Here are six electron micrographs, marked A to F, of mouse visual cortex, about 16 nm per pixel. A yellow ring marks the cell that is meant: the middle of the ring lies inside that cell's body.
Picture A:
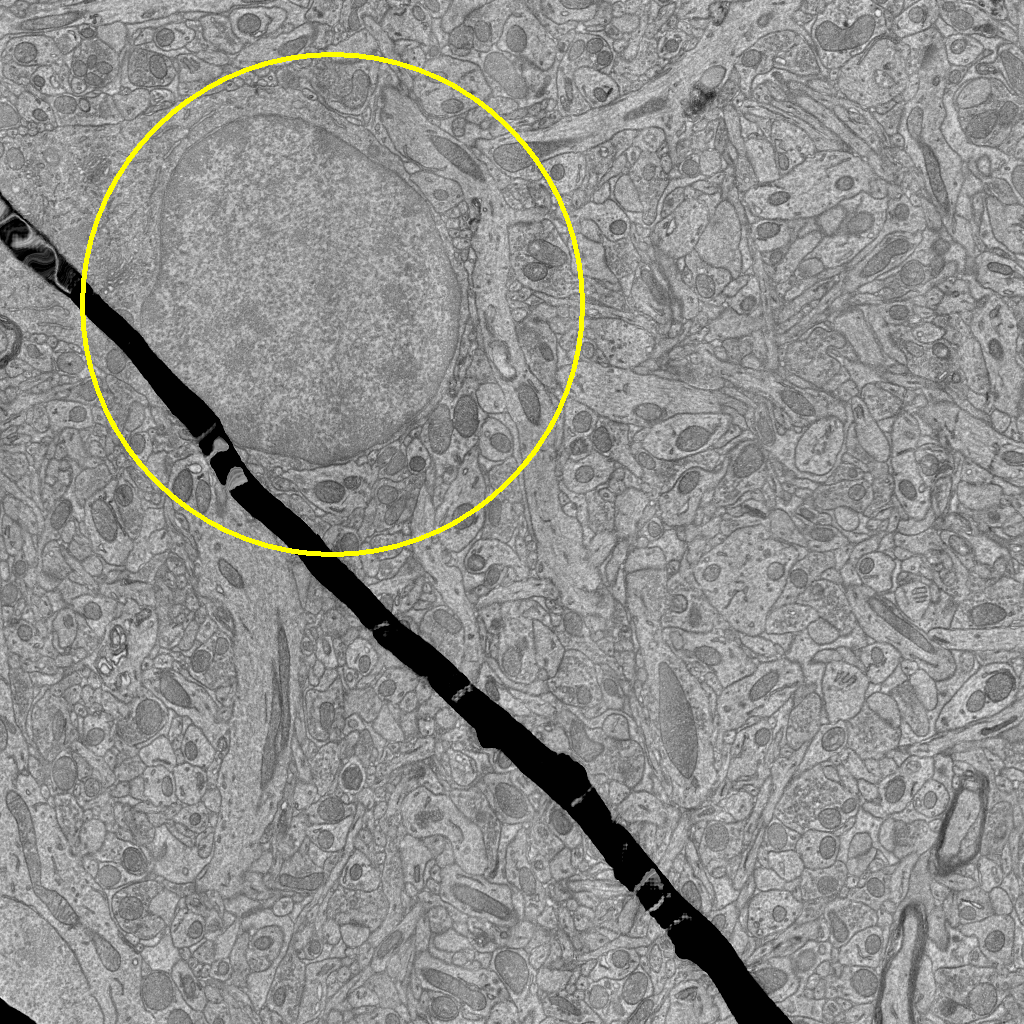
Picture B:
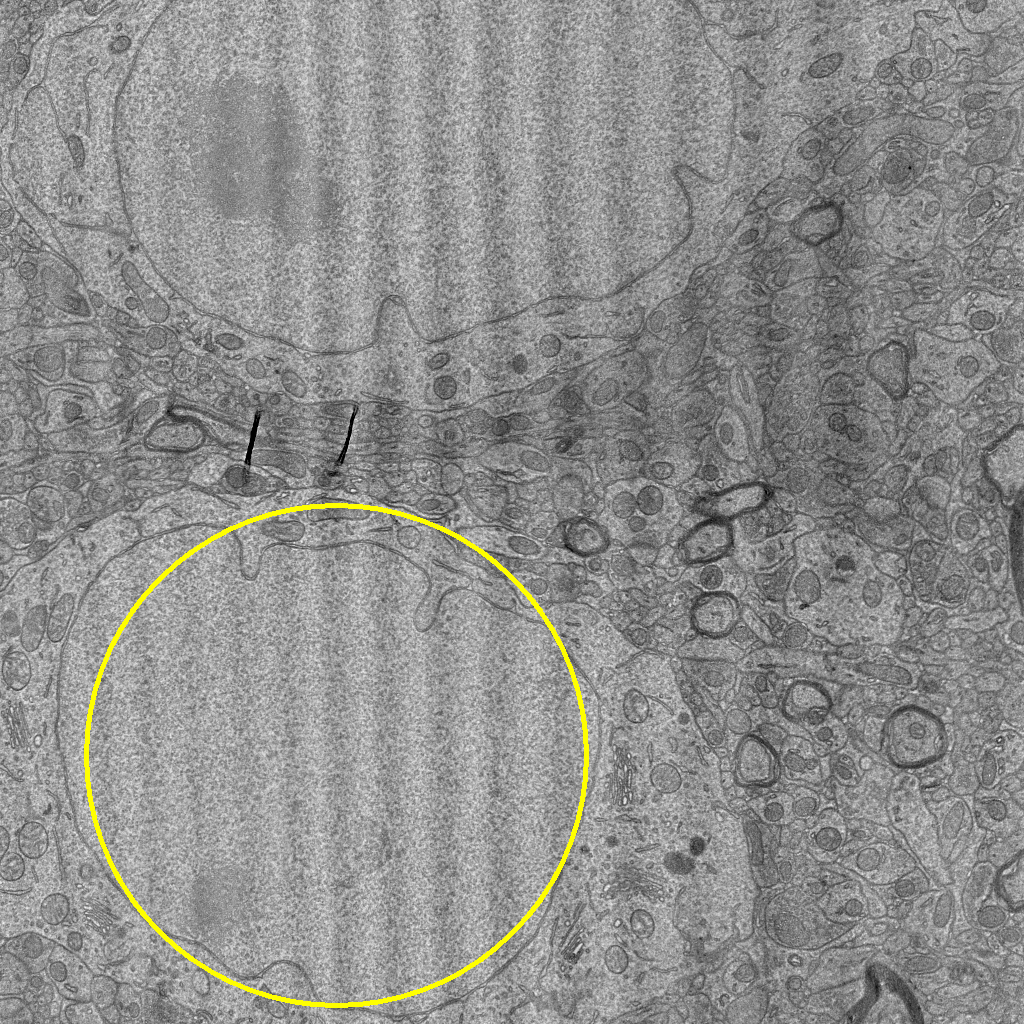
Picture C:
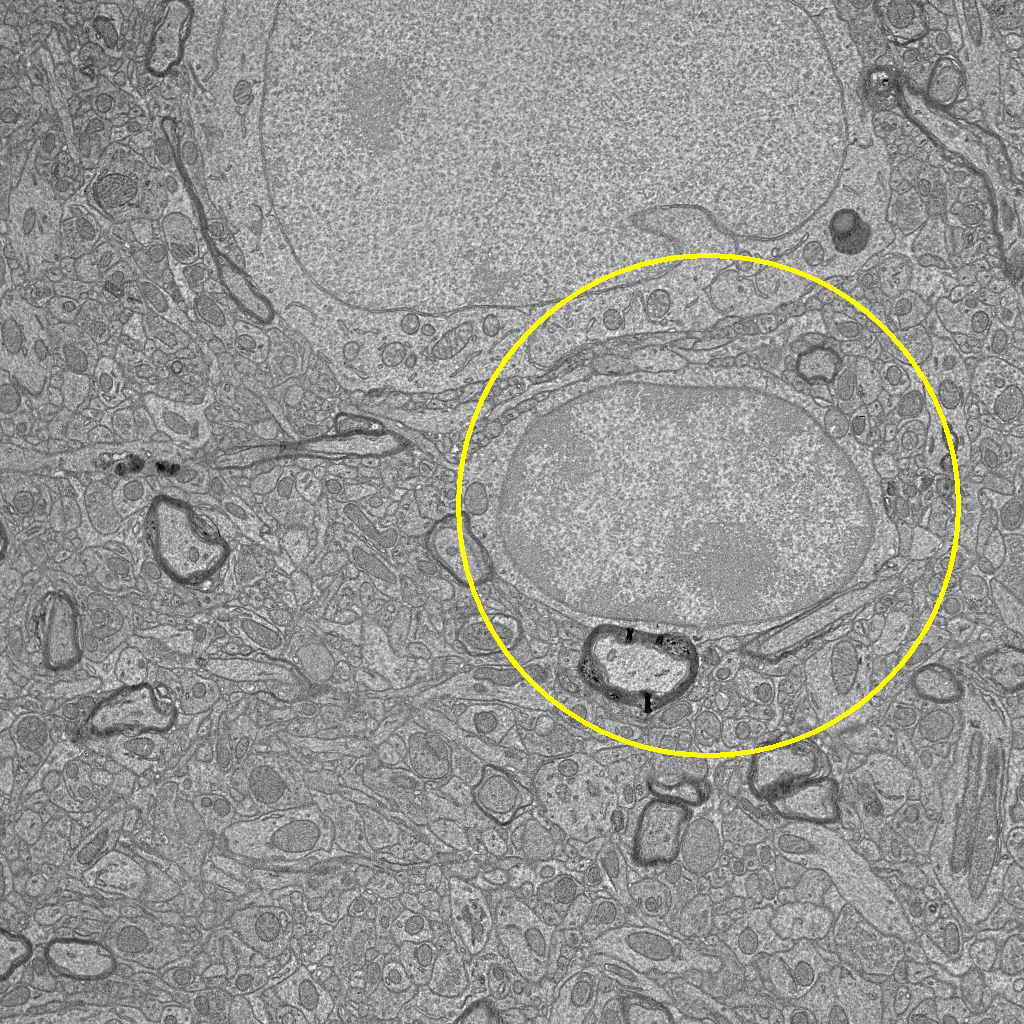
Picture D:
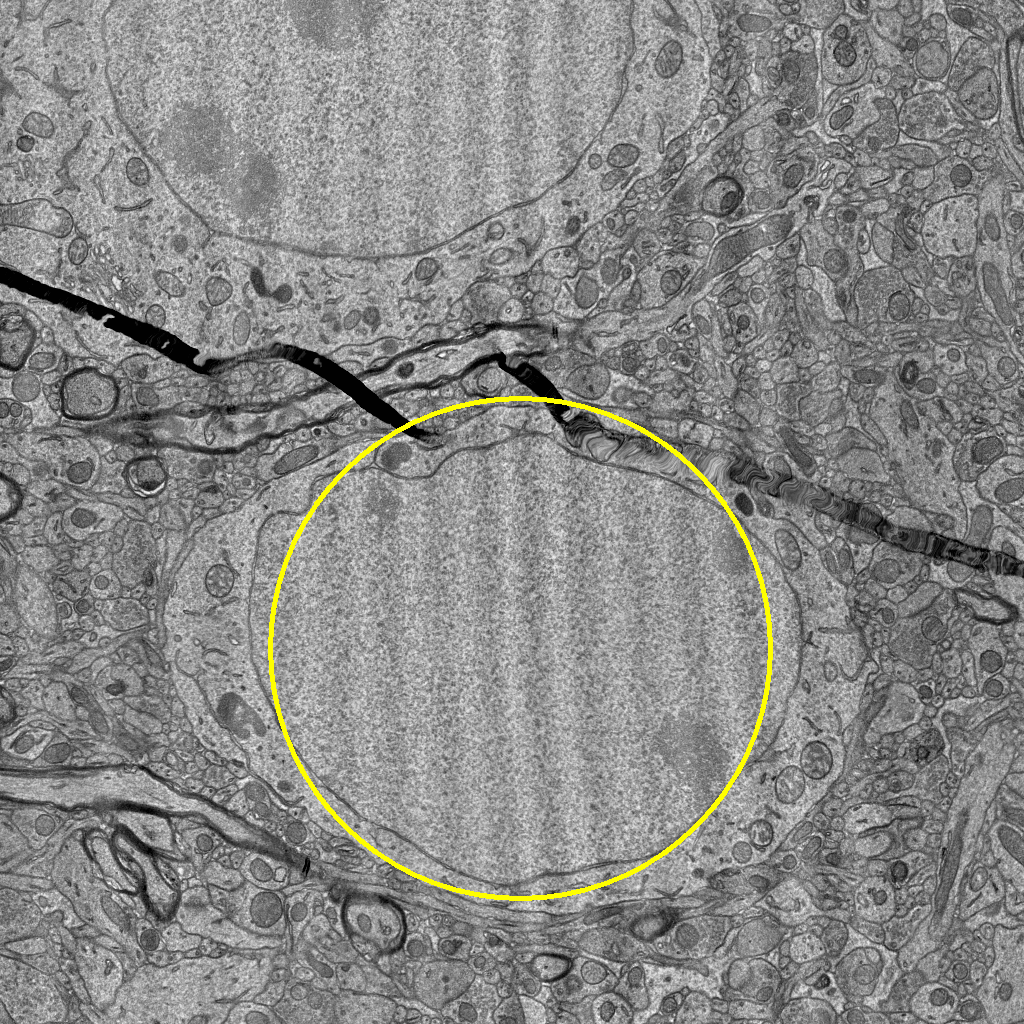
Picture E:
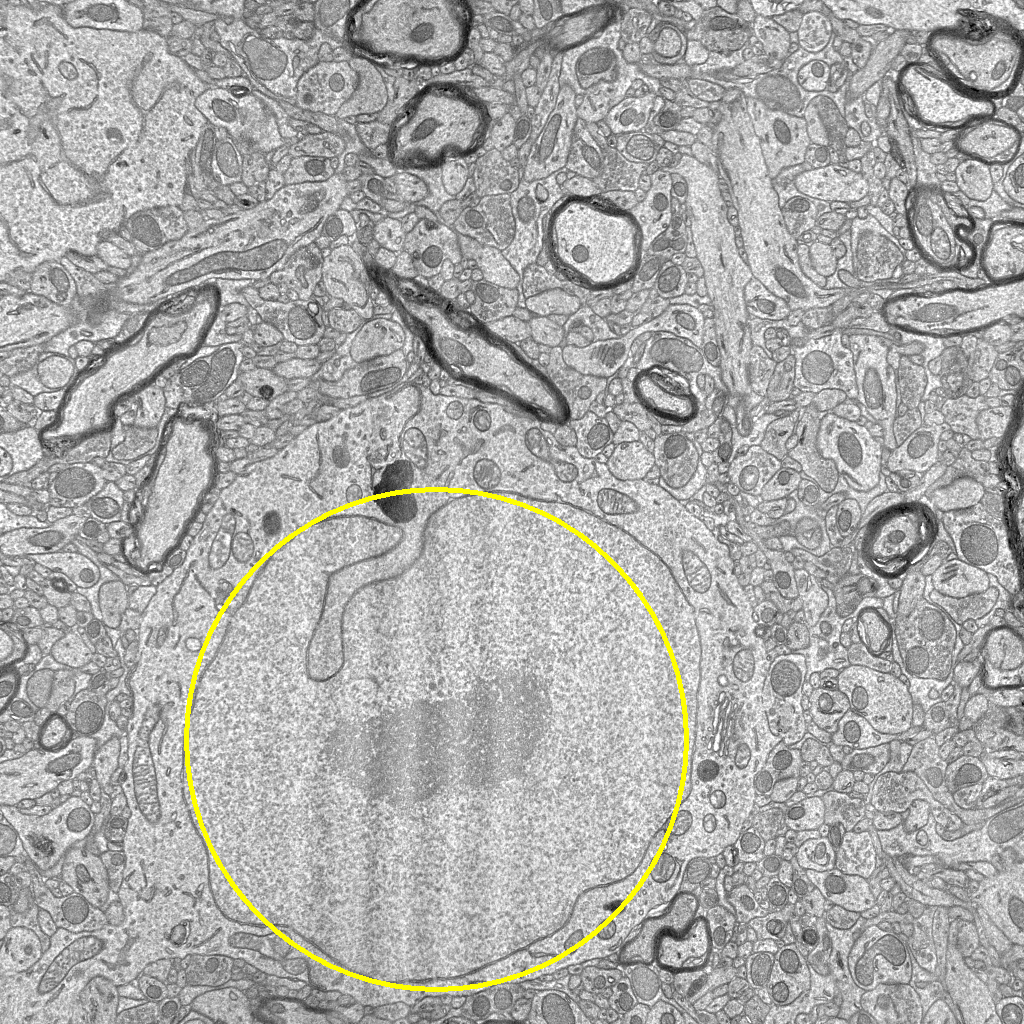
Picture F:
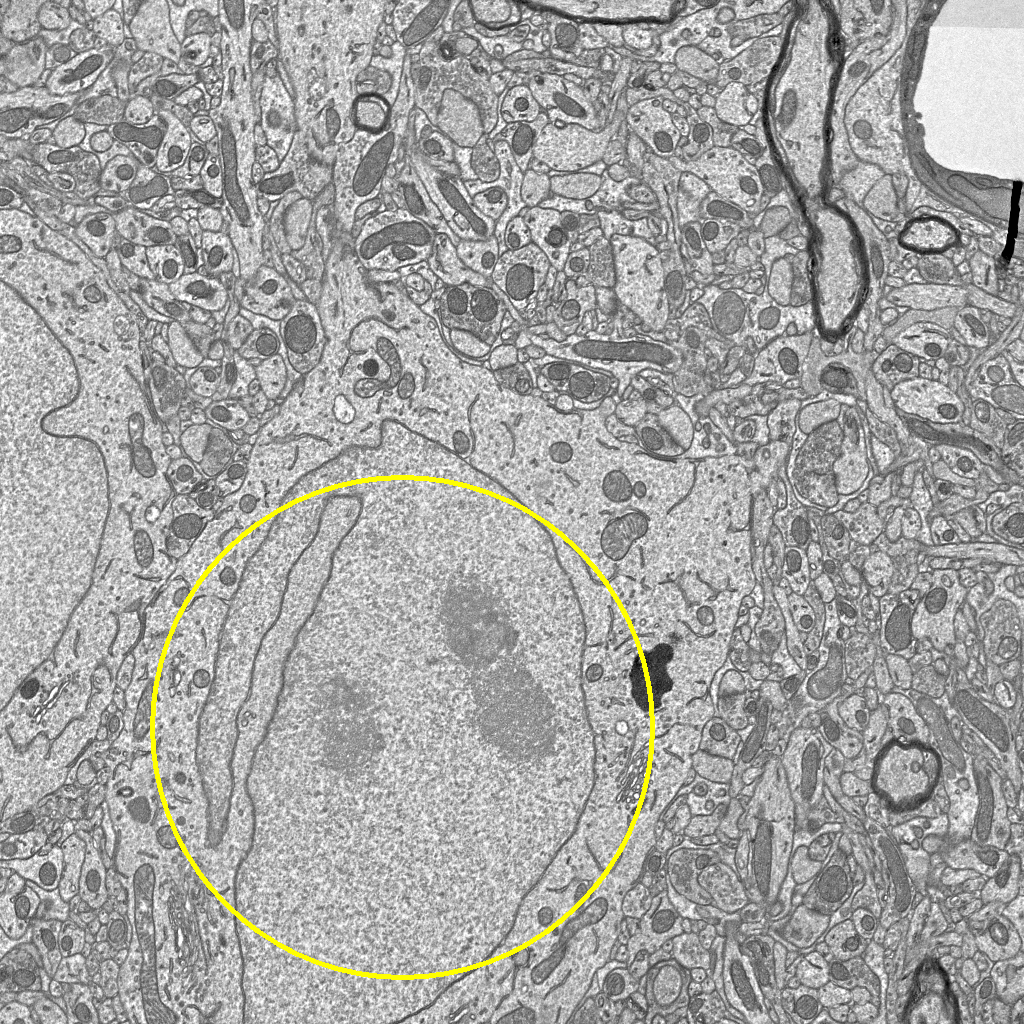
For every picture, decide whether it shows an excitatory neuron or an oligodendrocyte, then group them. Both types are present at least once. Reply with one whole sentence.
Pictures B, D, E and F show excitatory neurons, and pictures A and C show oligodendrocytes.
